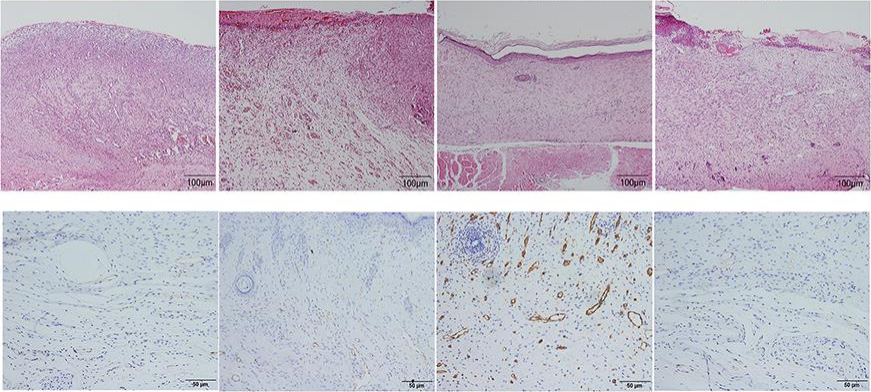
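These are sections of healing wound skin, reaching from the dermis down toward the subcutaneous layers. In the upper row, stained pink and purple, the tissue is densely packed with small dark-purple nuclei scattered through pink fibrous matrix. In some sections a surface layer or crust lies at the top. In the lower row the tissue is counterstained pale blue, with many small blue nuclei among loosely arranged fibres. In one of these sections numerous small tubular and ring-shaped profiles are outlined in brown, while the other sections show little or no brown stain.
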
